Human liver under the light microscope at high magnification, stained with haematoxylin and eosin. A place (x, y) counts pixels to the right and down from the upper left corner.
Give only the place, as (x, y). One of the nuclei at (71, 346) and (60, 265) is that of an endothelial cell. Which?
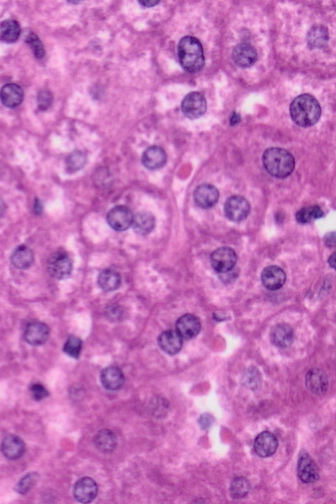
(71, 346)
